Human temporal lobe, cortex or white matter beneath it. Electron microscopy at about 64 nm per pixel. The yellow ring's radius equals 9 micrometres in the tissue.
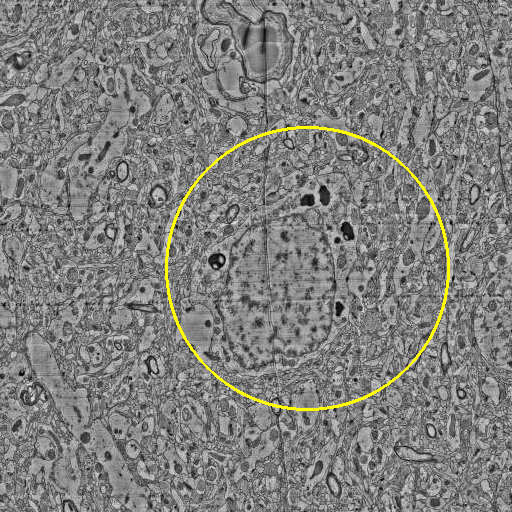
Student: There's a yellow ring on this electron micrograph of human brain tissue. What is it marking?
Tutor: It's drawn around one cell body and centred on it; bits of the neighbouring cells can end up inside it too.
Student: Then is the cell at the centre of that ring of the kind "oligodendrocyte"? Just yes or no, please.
no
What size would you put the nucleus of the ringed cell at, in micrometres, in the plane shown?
In this plane, approximately 9 by 8 micrometers.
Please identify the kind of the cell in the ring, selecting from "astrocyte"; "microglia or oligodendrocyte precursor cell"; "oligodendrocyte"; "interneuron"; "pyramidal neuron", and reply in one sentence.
The cell enclosed by the ring is an interneuron.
